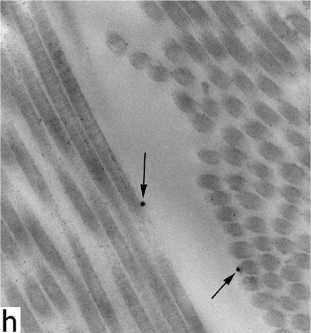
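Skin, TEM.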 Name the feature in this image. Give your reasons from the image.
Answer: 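Long parallel fibrils cut lengthwise on the left. Many round profiles of fibrils of even diameter cut across on the right. That points to this answer: collagen fibers of the dermis.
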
